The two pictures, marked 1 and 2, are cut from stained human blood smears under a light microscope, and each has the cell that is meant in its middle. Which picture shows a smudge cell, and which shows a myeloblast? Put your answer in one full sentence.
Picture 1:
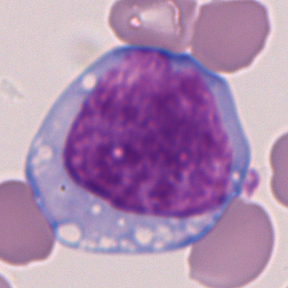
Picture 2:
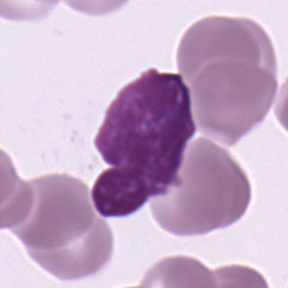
Picture 1 shows a myeloblast and picture 2 shows a smudge cell.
